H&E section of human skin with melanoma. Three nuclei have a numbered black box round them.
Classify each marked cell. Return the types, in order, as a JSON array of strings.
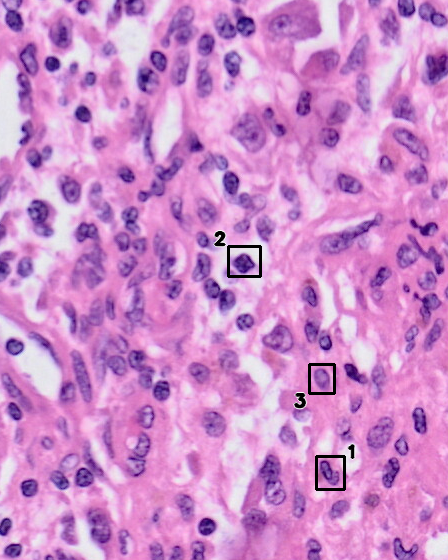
["macrophage or monocyte", "lymphocyte", "macrophage or monocyte"]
